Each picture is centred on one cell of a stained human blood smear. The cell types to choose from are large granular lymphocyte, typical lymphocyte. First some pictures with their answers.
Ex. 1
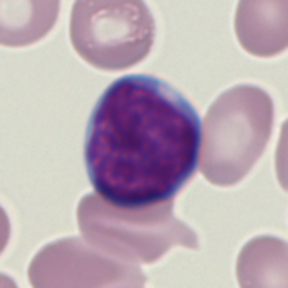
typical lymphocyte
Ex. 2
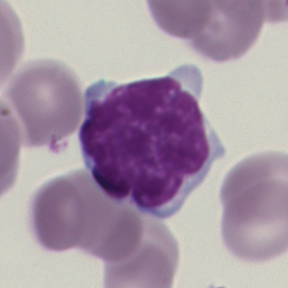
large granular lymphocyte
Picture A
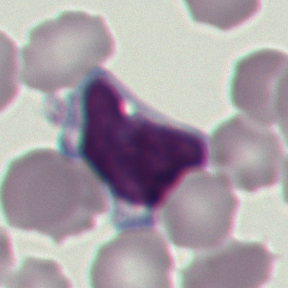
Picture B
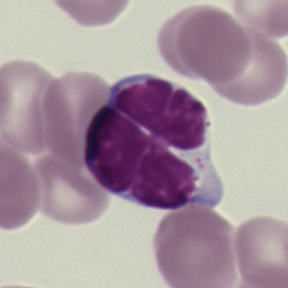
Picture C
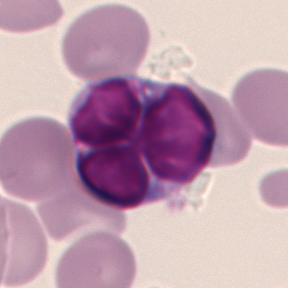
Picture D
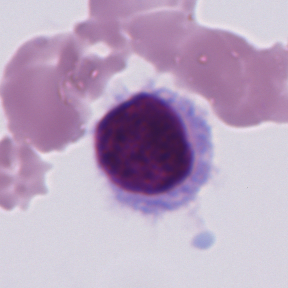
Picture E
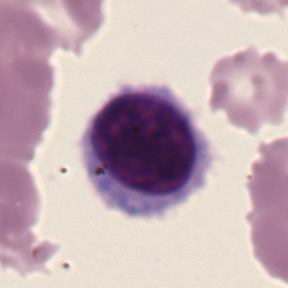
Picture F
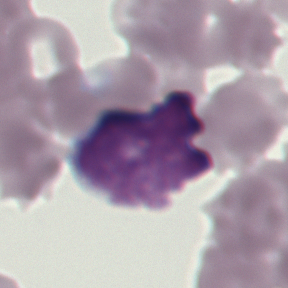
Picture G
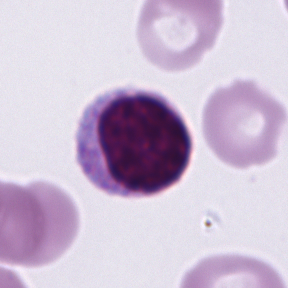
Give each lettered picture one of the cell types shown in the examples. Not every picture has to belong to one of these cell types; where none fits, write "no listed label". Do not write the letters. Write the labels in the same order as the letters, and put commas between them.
typical lymphocyte, large granular lymphocyte, large granular lymphocyte, no listed label, no listed label, typical lymphocyte, large granular lymphocyte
